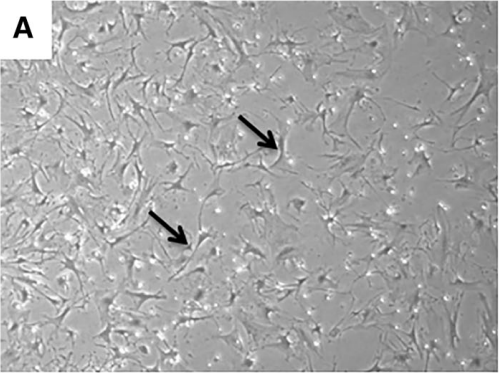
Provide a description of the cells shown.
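Cultured cells adhered to a dish, mostly spindle-shaped and stellate with long slender processes. Small round bright refractile bodies are dotted among the spread cells.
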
